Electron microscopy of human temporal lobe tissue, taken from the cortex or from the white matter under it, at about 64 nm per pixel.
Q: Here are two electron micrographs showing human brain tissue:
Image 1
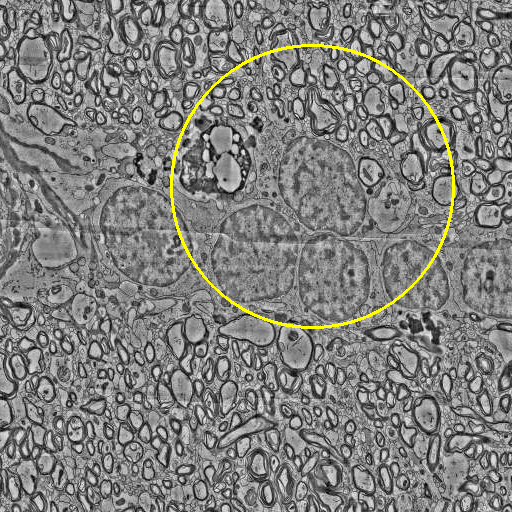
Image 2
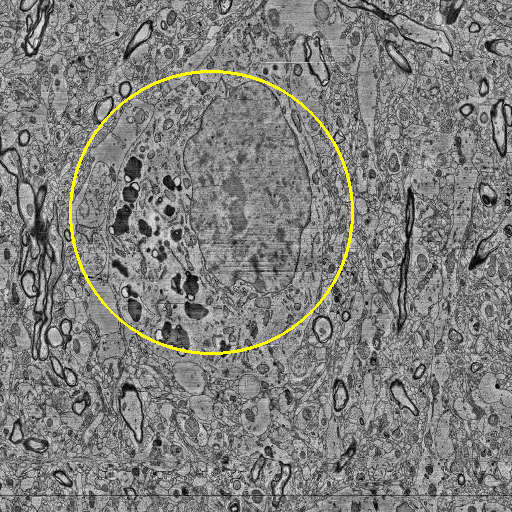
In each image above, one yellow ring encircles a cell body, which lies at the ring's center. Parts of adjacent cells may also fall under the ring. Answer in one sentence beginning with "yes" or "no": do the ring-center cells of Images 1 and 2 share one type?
No, in Images 1 and 2, the ring-center cells are of two types.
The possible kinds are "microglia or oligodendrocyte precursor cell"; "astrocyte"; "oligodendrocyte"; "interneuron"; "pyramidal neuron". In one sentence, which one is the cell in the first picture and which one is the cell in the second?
The cell ringed in the second picture is an interneuron, whereas the one ringed in the first is an oligodendrocyte.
